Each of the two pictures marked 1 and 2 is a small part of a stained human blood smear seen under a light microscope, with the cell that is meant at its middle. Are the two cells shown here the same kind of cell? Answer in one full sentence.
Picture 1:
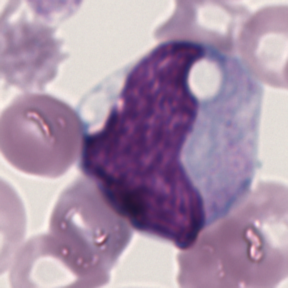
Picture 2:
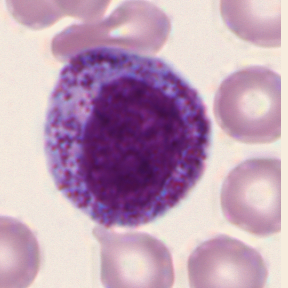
No, they differ: the cell is a monocyte in picture 1 and a promyelocyte in picture 2.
